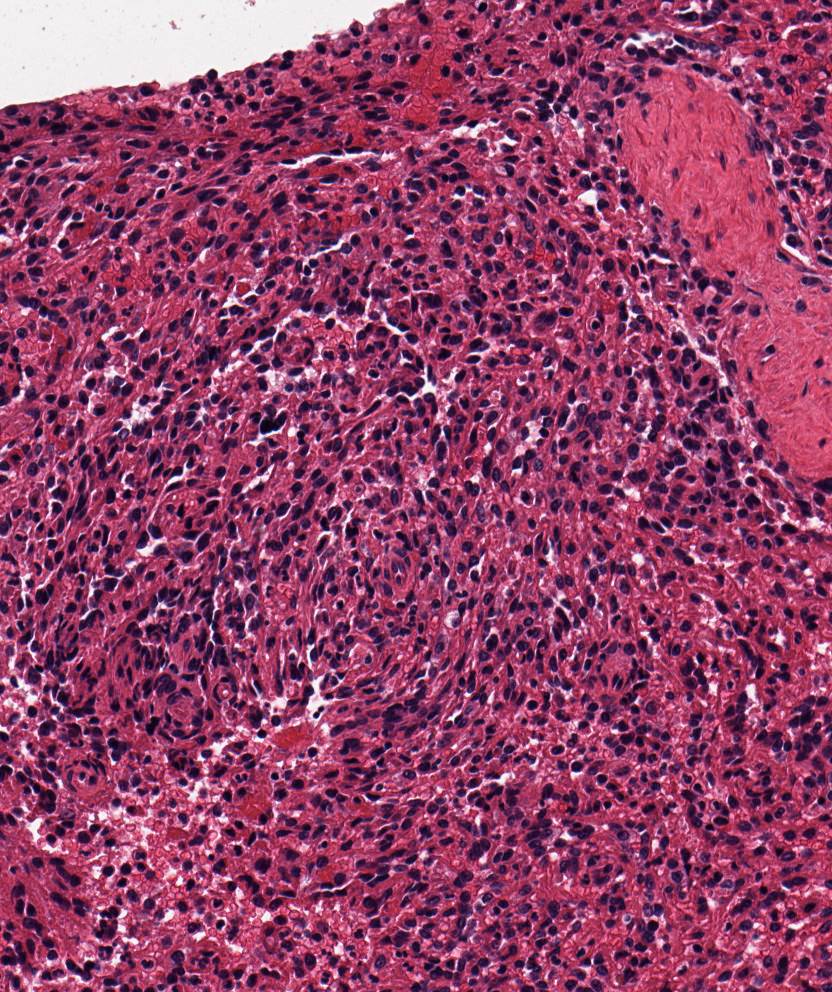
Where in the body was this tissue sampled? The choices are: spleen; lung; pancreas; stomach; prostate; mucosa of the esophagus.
spleen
